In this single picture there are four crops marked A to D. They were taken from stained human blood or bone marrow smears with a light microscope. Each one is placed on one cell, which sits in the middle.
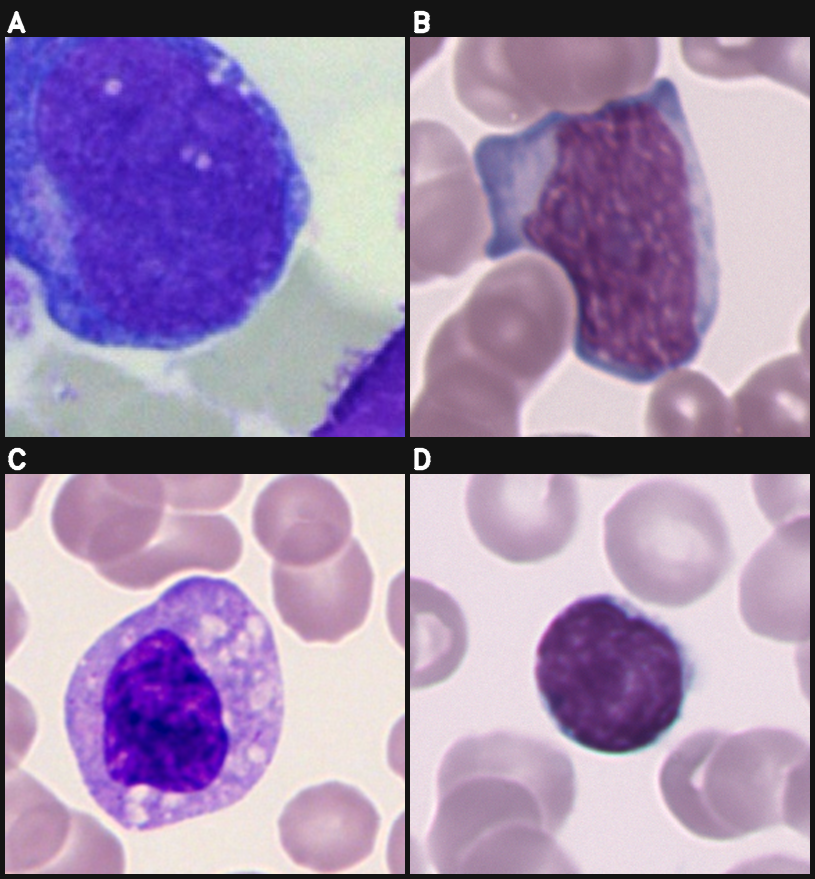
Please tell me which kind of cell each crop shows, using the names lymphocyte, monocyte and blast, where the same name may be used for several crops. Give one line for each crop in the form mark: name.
A: blast
B: blast
C: monocyte
D: lymphocyte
